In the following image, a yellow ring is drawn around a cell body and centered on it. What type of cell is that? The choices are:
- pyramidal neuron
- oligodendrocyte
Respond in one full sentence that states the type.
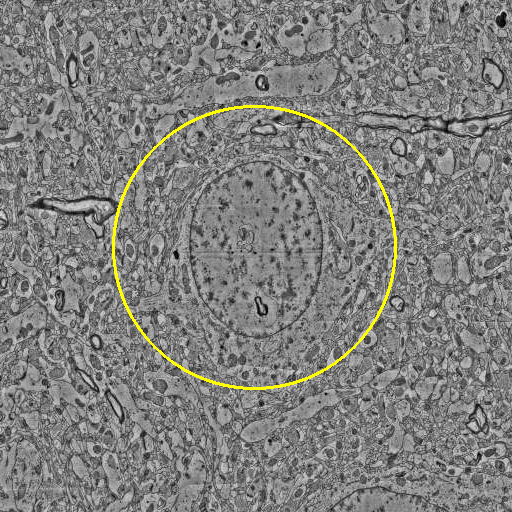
The cell at the center of the yellow ring in the image is a pyramidal neuron.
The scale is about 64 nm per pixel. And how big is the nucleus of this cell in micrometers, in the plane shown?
The nucleus measures about 11 by 9 micrometres in this plane.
